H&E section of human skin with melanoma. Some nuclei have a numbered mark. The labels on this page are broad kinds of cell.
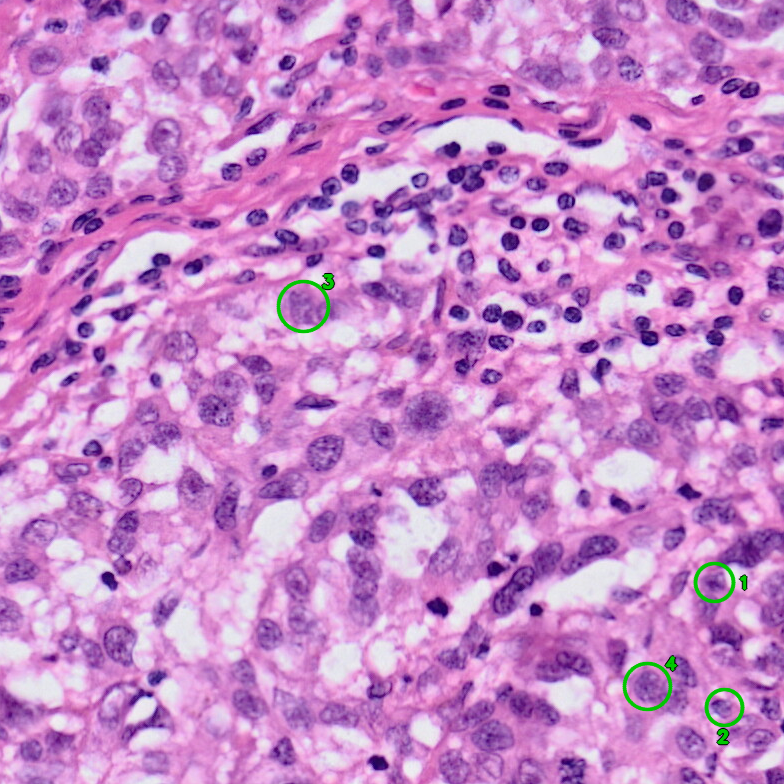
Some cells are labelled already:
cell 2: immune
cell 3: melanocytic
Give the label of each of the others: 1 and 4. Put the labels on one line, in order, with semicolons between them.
melanocytic; melanocytic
